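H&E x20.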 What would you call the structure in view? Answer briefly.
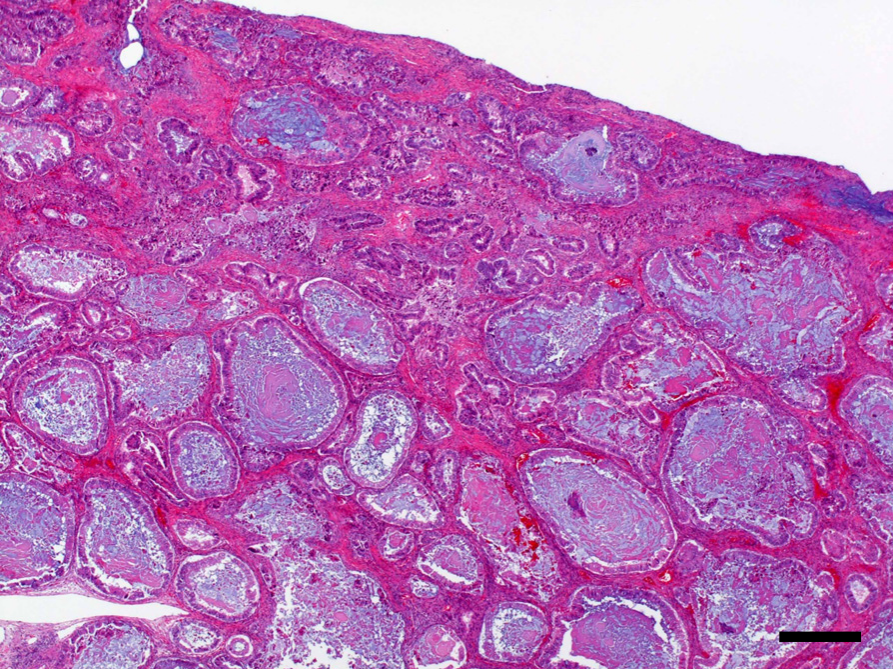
Cysts.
